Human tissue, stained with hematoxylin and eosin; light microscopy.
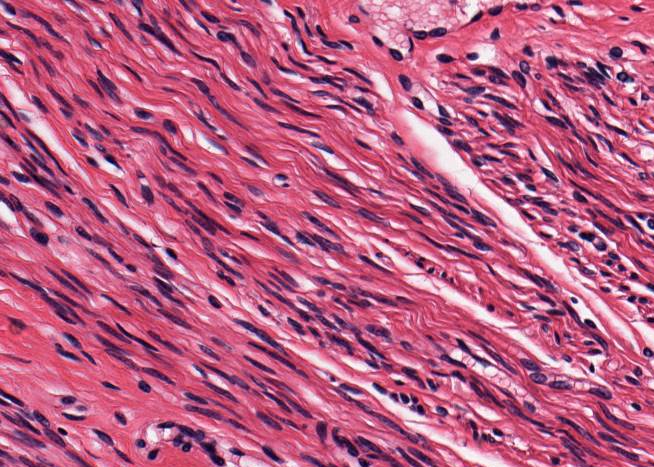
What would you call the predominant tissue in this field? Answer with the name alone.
smooth muscle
